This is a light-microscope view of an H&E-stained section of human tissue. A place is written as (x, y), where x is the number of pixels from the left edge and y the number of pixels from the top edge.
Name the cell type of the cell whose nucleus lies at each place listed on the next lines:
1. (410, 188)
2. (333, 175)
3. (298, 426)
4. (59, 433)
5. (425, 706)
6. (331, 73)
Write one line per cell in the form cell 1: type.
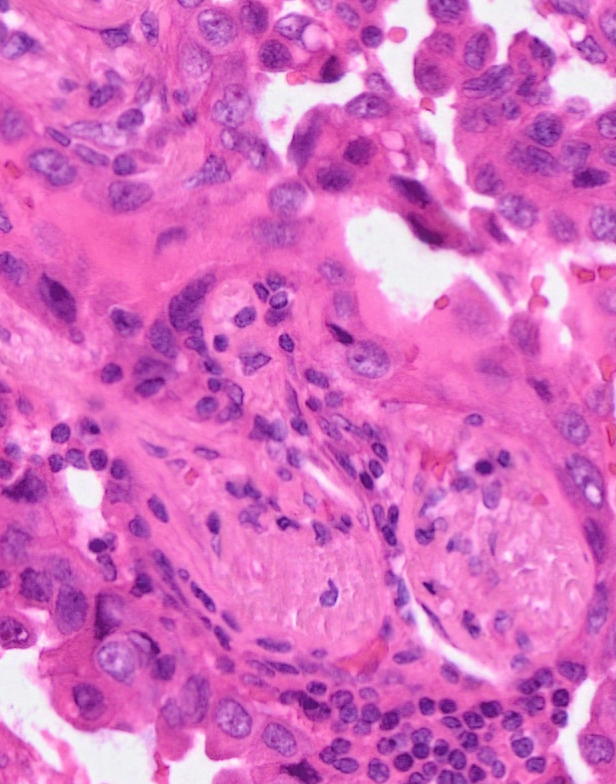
cell 1: carcinoma cell
cell 2: carcinoma cell
cell 3: lymphocyte
cell 4: lymphocyte
cell 5: lymphocyte
cell 6: carcinoma cell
